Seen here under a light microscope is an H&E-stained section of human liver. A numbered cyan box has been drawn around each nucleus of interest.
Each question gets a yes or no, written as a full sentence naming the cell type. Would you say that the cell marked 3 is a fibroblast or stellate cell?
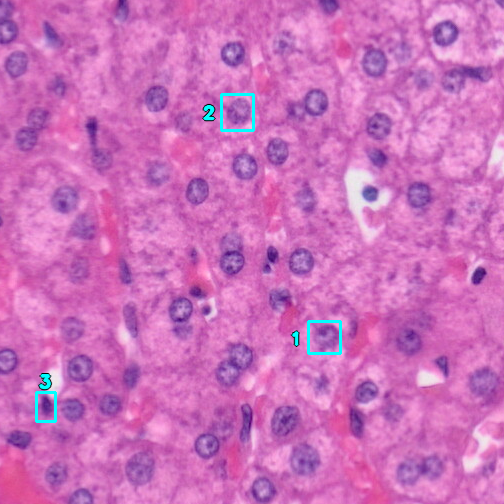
Yes, looking at number 3, that cell is a fibroblast or stellate cell.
